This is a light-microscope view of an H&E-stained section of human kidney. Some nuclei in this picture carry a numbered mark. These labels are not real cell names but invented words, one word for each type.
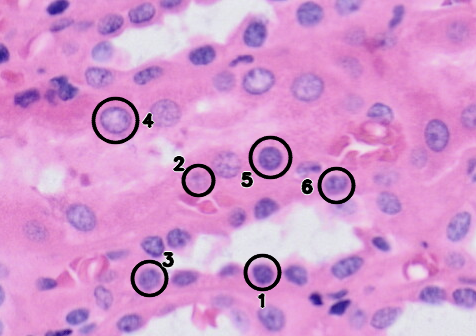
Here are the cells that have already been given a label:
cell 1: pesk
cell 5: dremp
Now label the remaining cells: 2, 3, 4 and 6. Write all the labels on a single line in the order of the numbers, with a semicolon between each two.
dremp; pesk; dremp; pesk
